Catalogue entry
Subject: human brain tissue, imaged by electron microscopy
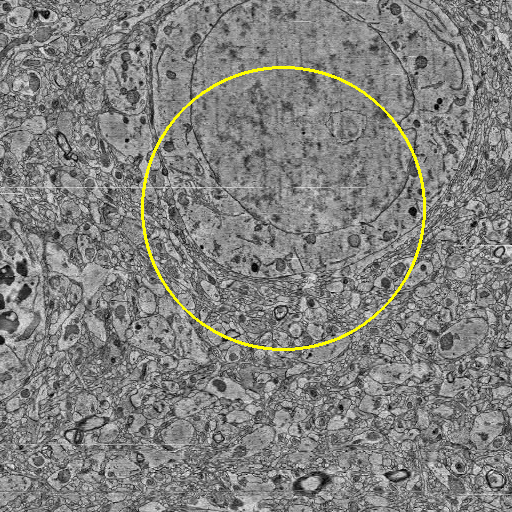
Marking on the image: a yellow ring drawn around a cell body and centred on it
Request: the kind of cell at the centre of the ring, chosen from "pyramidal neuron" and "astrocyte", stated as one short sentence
The ring has a pyramidal neuron at its centre.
